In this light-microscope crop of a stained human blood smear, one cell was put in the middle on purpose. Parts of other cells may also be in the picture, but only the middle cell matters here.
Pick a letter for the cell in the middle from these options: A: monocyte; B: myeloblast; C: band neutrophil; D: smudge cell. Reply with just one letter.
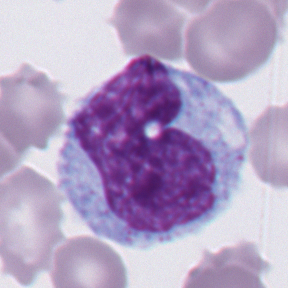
A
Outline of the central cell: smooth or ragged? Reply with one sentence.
In short, the margin is smooth with no projections at all.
